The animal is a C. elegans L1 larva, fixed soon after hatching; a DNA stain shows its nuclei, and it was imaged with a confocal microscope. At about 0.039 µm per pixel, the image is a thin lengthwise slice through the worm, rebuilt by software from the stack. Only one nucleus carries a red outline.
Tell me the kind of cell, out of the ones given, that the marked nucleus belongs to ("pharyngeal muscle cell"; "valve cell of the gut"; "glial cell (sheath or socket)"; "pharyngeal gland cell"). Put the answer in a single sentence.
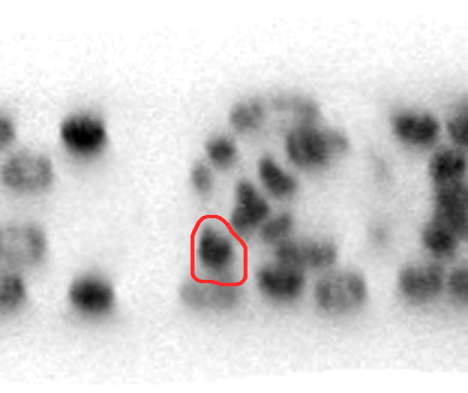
The cell with the marked nucleus is a valve cell of the gut.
